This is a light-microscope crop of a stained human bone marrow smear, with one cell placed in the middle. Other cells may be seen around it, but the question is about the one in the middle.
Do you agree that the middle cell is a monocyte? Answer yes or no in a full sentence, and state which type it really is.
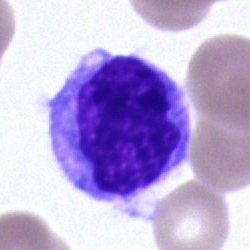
Yes, the cell in the middle of the view is a monocyte.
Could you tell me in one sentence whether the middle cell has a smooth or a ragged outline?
An irregular outline, ragged or marked by projections, surrounds this cell.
